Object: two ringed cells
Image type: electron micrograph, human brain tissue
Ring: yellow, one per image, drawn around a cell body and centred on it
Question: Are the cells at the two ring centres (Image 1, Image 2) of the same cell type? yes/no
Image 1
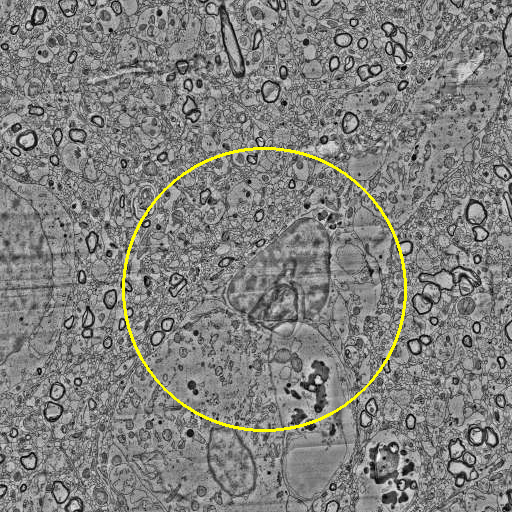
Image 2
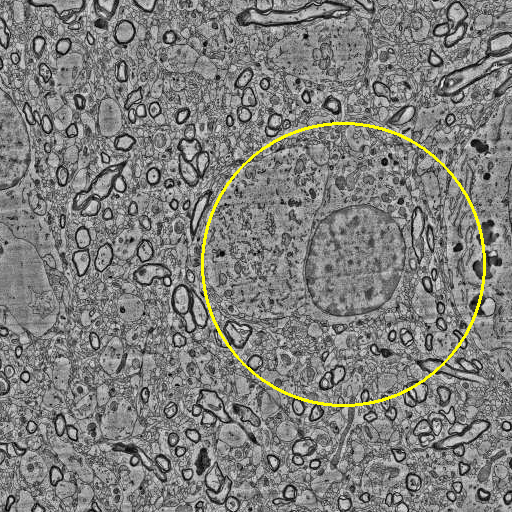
no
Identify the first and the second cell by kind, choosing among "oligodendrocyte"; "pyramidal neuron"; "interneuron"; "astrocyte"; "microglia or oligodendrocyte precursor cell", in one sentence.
The one in the first picture is a microglial cell or oligodendrocyte precursor cell, while the one in the second is an oligodendrocyte.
